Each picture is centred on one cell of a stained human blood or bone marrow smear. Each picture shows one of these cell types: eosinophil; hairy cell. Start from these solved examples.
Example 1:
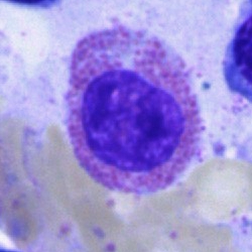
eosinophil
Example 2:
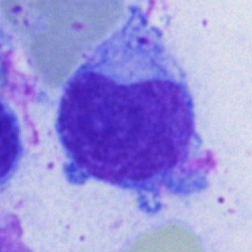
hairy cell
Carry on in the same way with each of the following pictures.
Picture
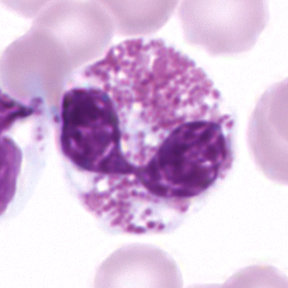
eosinophil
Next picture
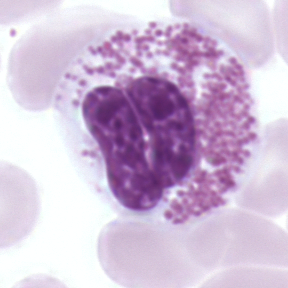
eosinophil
